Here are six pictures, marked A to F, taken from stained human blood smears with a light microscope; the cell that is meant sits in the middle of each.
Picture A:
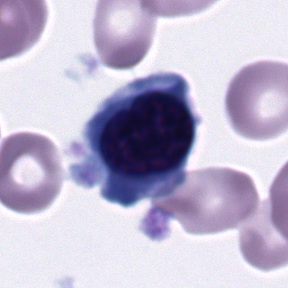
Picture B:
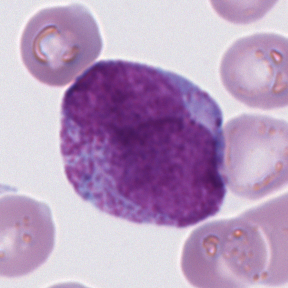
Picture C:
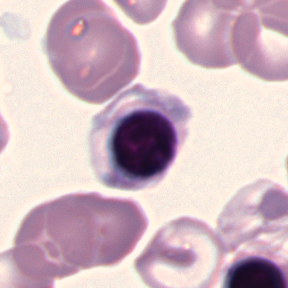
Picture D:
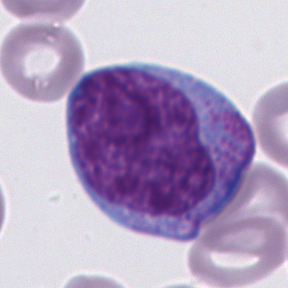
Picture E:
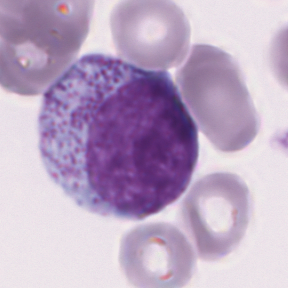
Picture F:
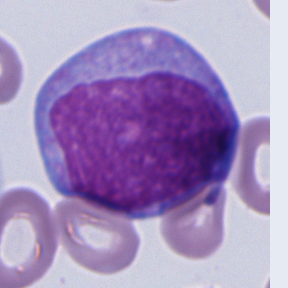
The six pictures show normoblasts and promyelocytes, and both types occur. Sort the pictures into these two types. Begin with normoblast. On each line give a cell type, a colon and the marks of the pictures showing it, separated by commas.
normoblast: A, C
promyelocyte: B, D, E, F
